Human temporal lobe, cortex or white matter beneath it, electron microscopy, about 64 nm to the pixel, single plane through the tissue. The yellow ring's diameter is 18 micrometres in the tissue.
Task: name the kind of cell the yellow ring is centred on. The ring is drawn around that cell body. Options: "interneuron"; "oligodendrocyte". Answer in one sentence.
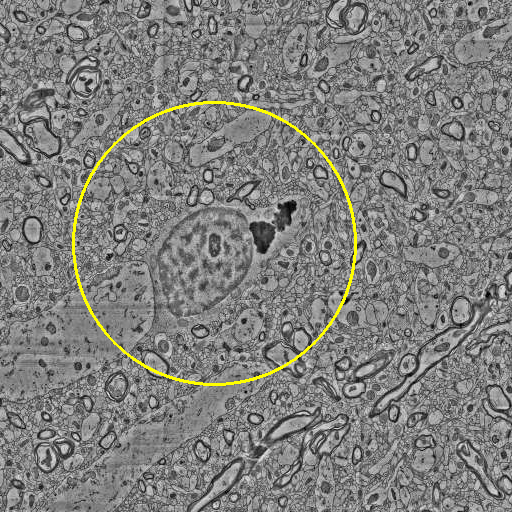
This cell body belongs to an oligodendrocyte.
